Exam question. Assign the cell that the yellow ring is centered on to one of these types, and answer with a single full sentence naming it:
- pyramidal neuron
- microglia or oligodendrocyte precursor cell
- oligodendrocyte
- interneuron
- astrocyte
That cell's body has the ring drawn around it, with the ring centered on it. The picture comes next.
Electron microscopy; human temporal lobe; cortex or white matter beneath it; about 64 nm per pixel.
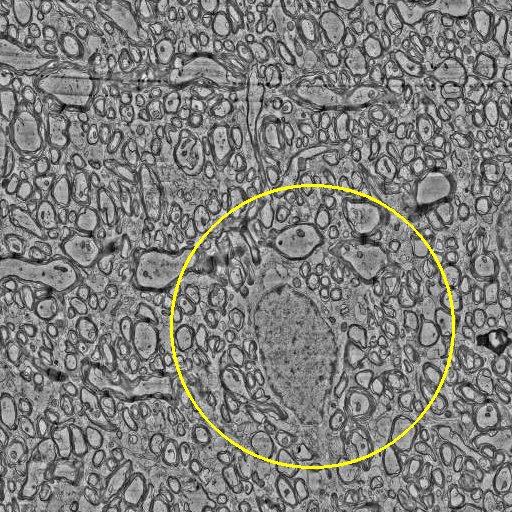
In the micrograph, the cell the yellow ring is centered on is an astrocyte.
